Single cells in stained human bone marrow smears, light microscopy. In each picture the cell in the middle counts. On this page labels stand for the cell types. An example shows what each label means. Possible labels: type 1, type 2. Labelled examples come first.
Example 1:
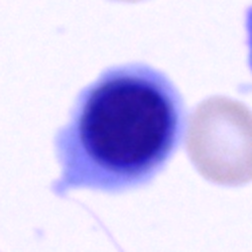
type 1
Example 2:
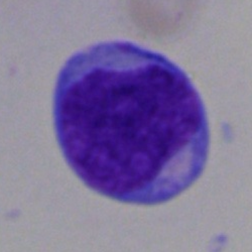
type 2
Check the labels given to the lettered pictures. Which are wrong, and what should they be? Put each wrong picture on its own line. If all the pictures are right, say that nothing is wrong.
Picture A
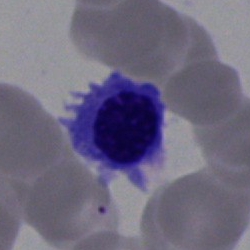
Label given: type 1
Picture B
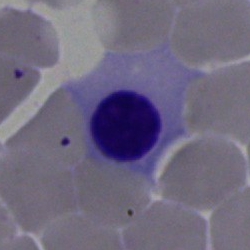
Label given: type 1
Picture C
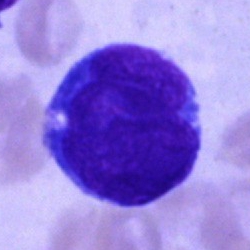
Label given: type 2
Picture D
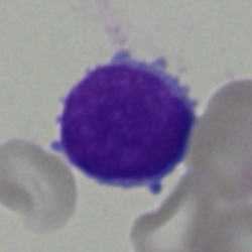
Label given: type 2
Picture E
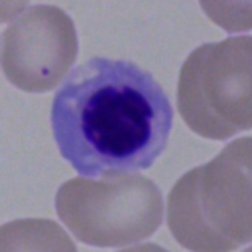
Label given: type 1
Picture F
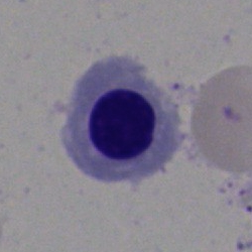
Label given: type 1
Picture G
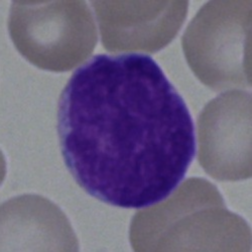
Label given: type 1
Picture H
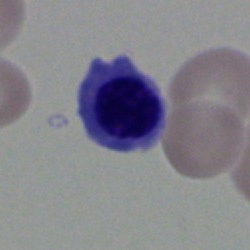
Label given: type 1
G: not type 1 but type 2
